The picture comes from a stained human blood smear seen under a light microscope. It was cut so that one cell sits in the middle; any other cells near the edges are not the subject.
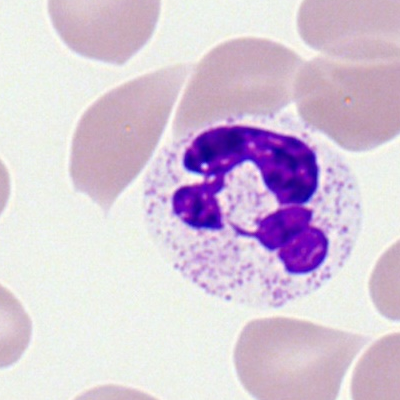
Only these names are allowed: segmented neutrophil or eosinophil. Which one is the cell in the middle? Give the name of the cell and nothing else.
segmented neutrophil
